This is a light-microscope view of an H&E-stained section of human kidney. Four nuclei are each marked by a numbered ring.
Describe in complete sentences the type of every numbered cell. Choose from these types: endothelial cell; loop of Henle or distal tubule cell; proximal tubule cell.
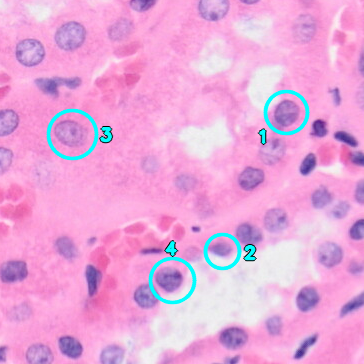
Cell 1 is a proximal tubule cell, cell 2 is a loop of Henle or distal tubule cell, cell 3 is a proximal tubule cell and cell 4 is a loop of Henle or distal tubule cell.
